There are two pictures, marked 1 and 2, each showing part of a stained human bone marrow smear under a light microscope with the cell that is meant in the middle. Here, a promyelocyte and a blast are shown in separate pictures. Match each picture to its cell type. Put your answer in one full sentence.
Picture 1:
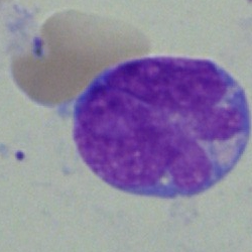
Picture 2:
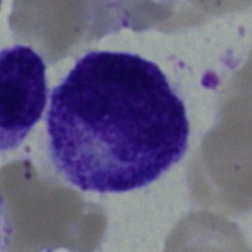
Picture 1 is of a blast, and picture 2 is of a promyelocyte.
